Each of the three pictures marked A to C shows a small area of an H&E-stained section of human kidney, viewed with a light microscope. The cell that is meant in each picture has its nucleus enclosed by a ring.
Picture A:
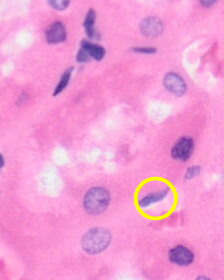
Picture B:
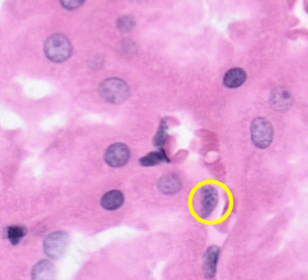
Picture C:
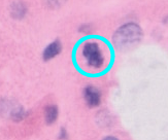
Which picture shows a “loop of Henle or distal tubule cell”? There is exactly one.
C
